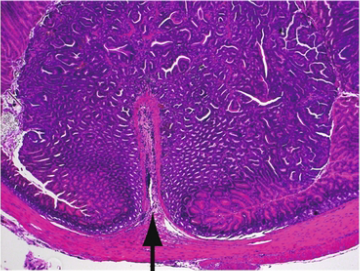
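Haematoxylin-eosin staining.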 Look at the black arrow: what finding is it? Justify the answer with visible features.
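A large rounded mass of glandular tissue sits on a narrow stalk. The arrow points at the narrow stalk joining the mass to the wall's muscle layer.
Hence: pedunculated morphology.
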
